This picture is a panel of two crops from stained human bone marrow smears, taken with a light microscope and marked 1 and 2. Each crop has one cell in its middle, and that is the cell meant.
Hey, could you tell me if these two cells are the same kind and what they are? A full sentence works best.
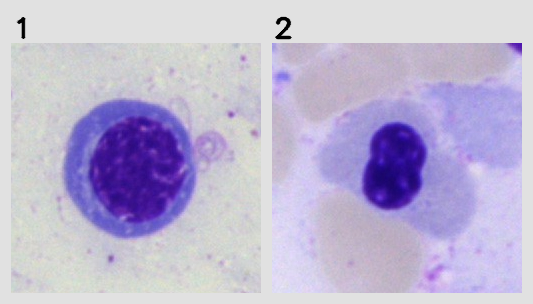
Yes, the two crops both show erythroblasts.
